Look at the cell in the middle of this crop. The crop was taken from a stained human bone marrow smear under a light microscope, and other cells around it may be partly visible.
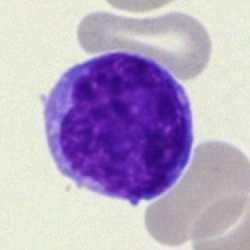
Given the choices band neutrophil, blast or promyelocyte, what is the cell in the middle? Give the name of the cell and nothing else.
blast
